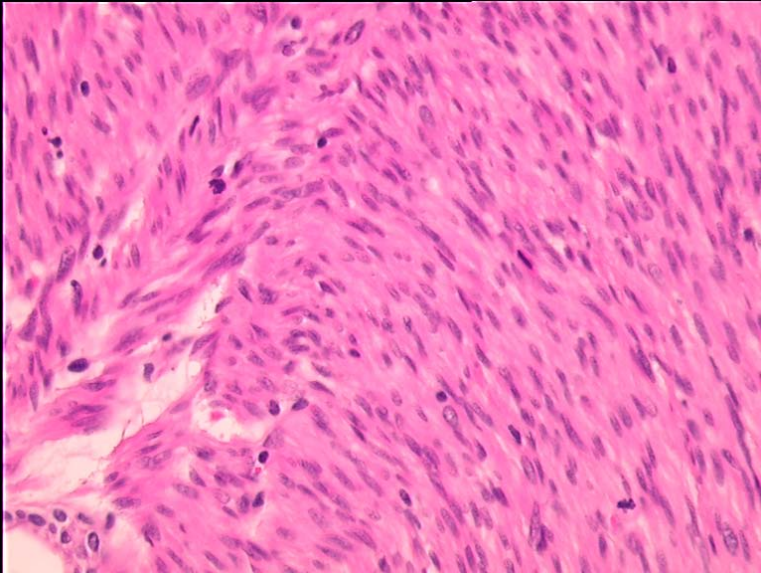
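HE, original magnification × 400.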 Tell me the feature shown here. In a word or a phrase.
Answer: Parallel bundles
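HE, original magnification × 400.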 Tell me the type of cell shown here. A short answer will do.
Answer: Spindle cells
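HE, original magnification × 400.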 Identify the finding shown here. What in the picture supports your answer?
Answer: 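Elongated with plump ends. Nuclei are oval to cigar-shaped and longer than wide. Many nuclei have blunt, rounded ends rather than pointed ones.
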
